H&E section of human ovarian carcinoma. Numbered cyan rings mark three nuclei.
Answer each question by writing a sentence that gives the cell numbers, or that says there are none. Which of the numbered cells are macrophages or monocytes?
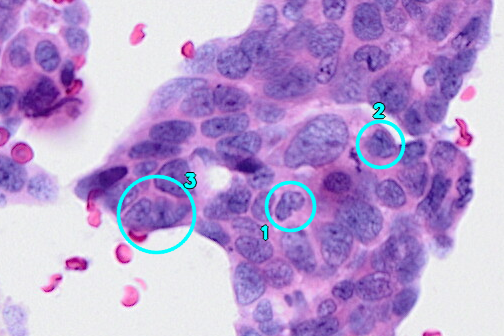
Only cell 1 should be marked as a macrophage or monocyte.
